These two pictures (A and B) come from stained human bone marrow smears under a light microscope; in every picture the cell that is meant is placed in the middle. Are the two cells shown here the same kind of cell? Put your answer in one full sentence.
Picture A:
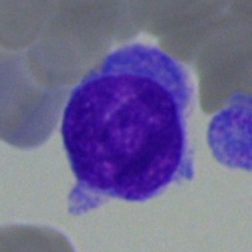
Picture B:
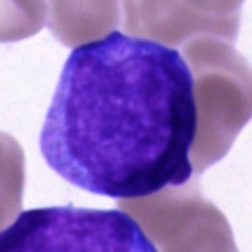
Yes, they are the same type: both are blasts.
